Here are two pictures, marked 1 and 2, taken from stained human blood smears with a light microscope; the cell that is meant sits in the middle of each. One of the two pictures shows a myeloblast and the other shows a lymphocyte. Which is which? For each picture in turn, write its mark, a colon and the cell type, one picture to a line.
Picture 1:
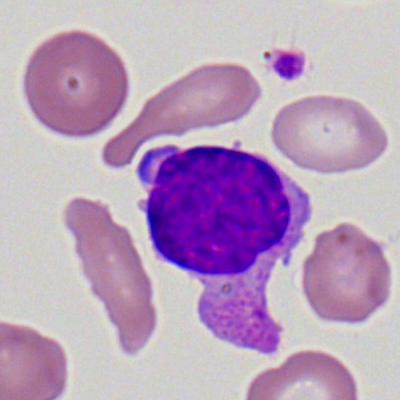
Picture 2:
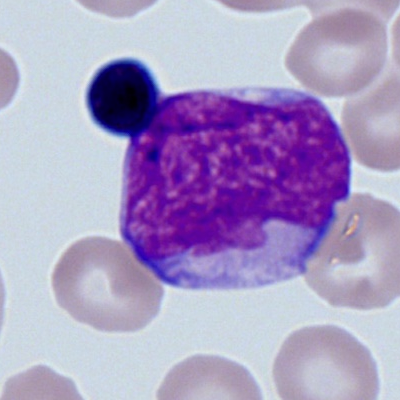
1: lymphocyte
2: myeloblast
